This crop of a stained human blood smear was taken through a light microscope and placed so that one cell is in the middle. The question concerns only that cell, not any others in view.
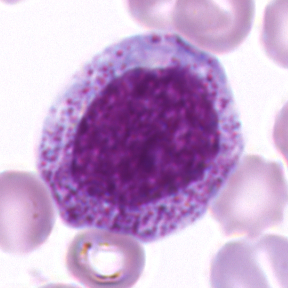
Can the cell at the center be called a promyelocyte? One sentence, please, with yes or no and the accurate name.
Yes, the cell in the middle has the identity of a promyelocyte.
